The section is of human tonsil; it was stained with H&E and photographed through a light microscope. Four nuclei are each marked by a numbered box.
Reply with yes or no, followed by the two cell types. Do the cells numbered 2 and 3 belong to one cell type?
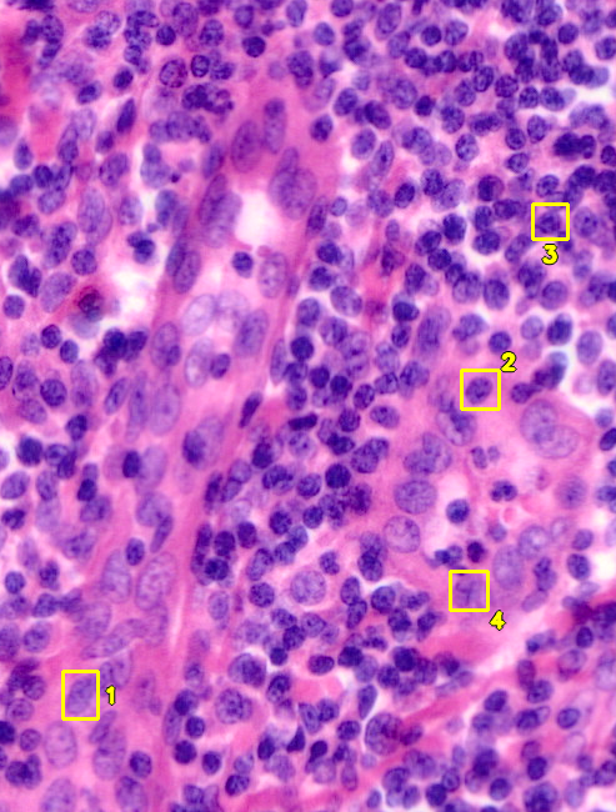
No, cell 2 is an endothelial cell and cell 3 is a small lymphocyte.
